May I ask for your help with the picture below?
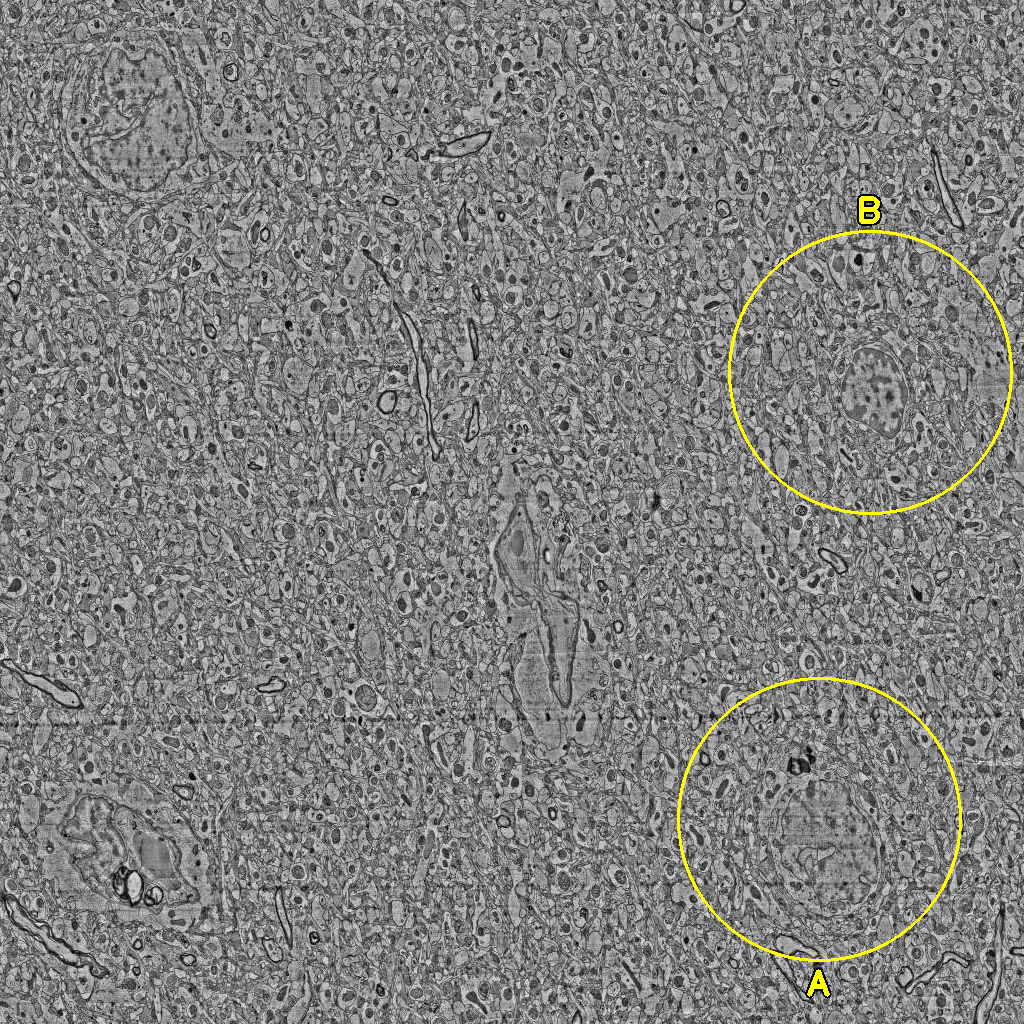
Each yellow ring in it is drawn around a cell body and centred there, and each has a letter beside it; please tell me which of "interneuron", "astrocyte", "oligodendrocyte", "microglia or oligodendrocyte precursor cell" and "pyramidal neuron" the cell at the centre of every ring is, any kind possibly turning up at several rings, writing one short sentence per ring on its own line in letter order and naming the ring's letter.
Ring A is drawn around the cell body of an interneuron.
Ring B is drawn around the cell body of a microglial cell or oligodendrocyte precursor cell.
